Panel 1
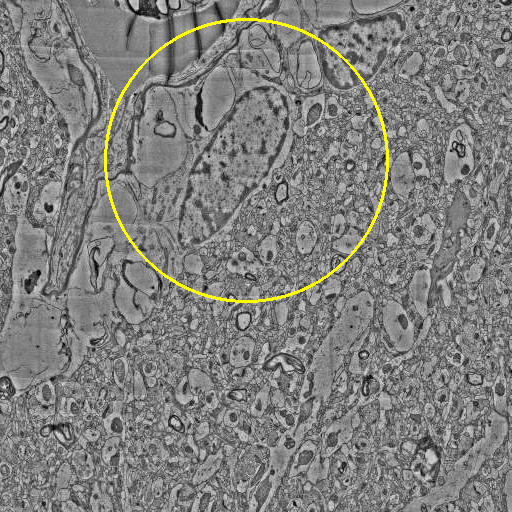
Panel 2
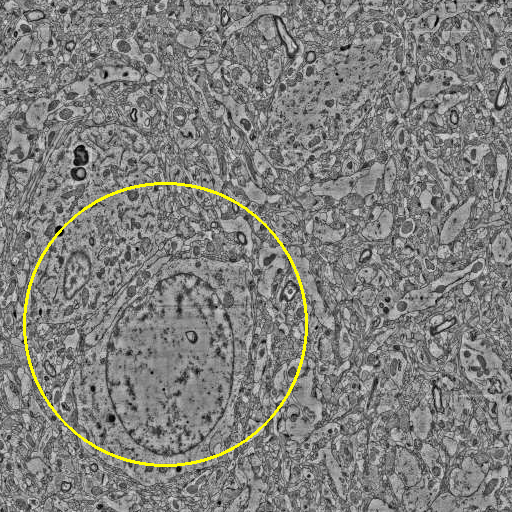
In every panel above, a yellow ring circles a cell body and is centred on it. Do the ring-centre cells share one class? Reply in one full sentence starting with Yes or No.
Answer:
No, the two cells at the ring centres in the panels belong to two classes.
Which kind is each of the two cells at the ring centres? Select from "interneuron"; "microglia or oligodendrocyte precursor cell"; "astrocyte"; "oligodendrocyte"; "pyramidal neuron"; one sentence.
The cell at the centre of the ring is a microglial cell or oligodendrocyte precursor cell in the first picture and a pyramidal neuron in the second.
